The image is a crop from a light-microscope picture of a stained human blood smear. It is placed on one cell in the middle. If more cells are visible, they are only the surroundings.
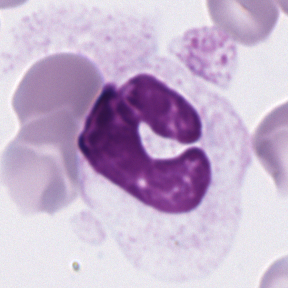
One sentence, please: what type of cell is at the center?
In the center of this field lies a band neutrophil.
